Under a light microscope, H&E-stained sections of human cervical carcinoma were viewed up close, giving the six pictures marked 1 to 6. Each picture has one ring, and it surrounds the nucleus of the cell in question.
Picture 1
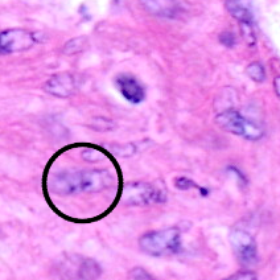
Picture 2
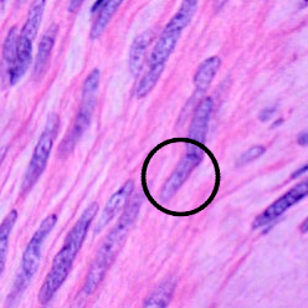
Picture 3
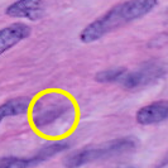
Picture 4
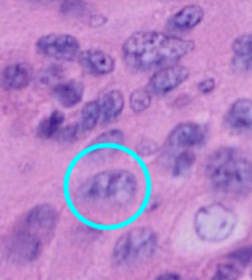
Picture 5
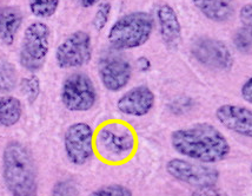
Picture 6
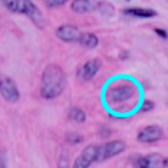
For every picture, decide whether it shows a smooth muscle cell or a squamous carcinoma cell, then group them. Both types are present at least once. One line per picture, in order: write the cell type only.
smooth muscle cell
smooth muscle cell
smooth muscle cell
squamous carcinoma cell
squamous carcinoma cell
smooth muscle cell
